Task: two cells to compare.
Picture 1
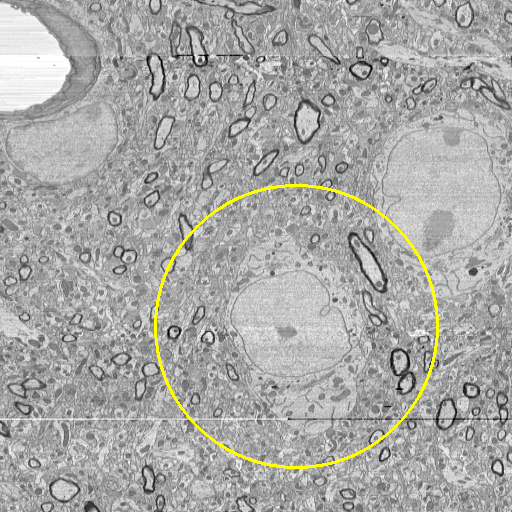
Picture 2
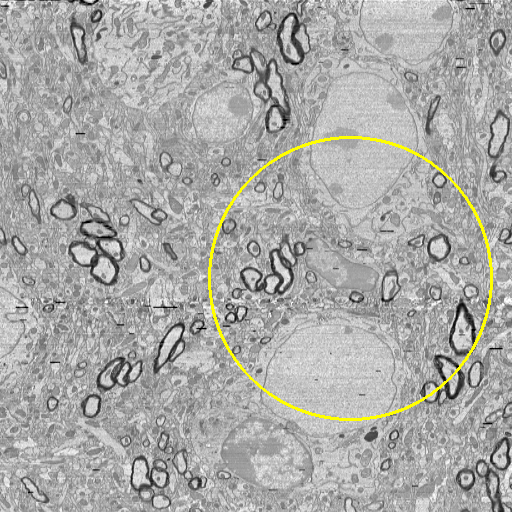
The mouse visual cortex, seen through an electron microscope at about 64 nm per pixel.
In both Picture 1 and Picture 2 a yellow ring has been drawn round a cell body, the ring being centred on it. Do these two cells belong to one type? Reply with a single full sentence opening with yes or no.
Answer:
No, the two cells at the ring centres in Picture 1 and Picture 2 are of two types.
